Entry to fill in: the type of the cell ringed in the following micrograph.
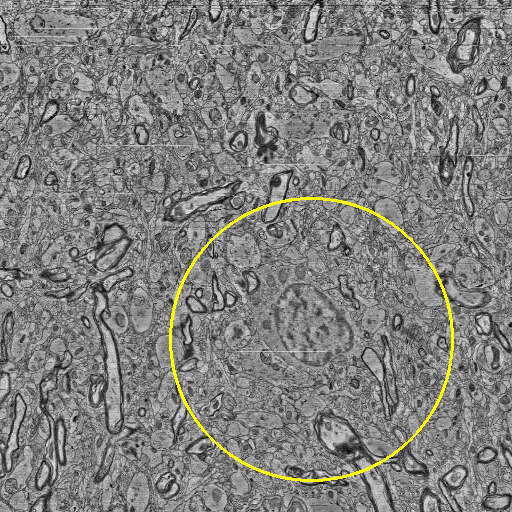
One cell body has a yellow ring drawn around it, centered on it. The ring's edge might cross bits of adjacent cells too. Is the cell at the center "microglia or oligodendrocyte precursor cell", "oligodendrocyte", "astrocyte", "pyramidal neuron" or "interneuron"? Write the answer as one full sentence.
This entry names an oligodendrocyte as the cell whose body lies at the ring's center.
